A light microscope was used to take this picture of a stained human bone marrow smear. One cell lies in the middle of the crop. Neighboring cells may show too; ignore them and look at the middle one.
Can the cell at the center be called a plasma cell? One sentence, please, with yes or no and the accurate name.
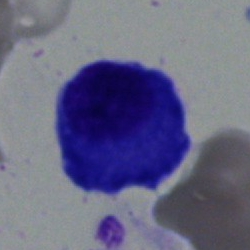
Yes, the cell shown in the middle is a plasma cell.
